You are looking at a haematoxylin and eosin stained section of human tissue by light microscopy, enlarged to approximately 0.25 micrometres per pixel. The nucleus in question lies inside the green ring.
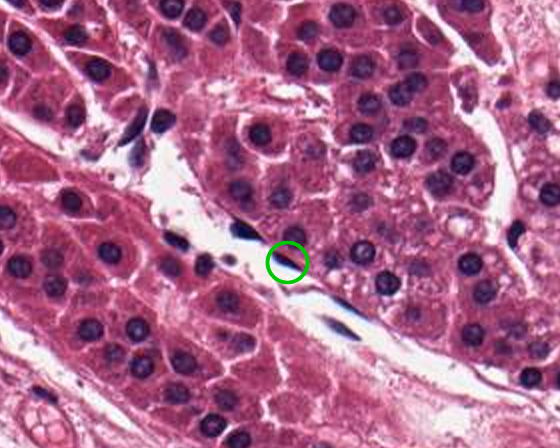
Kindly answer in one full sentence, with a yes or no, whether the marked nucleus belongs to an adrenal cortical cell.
No, the marked nucleus belongs to a supporting cell of connective tissue, a vessel or the immune system, not to an adrenal cortical cell.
